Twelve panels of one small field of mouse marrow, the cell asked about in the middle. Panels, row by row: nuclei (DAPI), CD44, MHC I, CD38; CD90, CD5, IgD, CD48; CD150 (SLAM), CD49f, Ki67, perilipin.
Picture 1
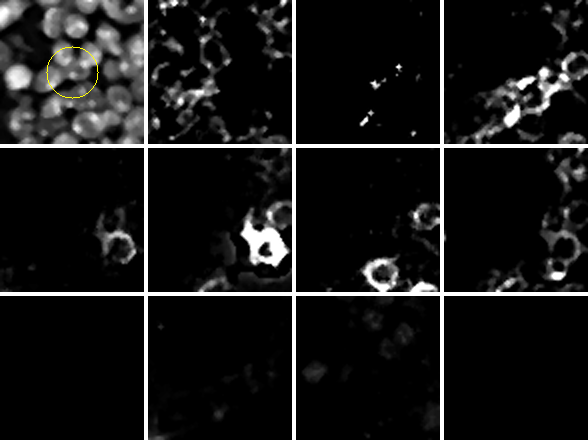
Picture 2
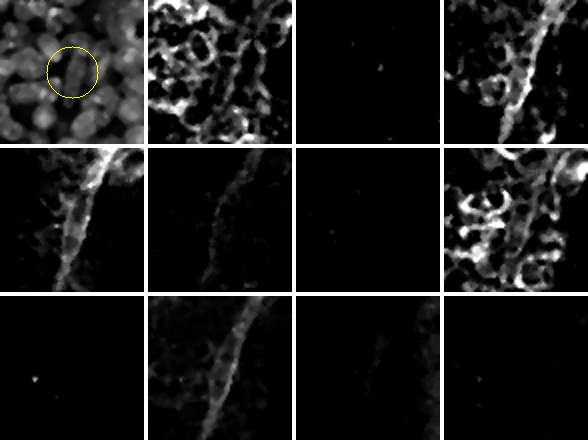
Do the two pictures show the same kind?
Yes, both are capillary endothelial cells.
